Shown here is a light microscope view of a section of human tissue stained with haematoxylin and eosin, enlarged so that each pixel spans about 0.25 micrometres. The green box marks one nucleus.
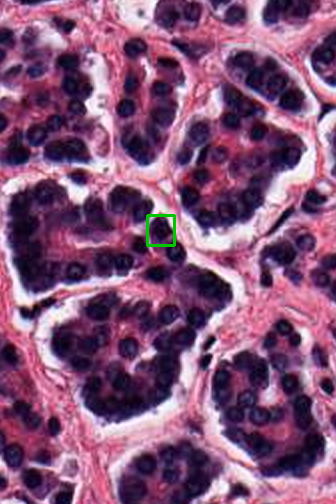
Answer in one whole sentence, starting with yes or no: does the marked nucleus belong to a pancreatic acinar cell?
Yes, the nucleus bearing the mark is that of a pancreatic acinar cell.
